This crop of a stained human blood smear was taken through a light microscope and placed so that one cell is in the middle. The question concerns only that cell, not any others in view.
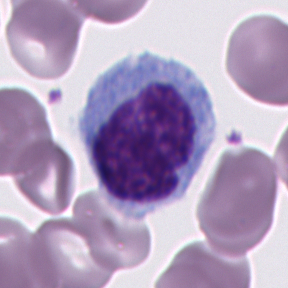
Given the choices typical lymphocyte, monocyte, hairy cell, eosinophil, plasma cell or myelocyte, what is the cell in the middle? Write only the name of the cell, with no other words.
monocyte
